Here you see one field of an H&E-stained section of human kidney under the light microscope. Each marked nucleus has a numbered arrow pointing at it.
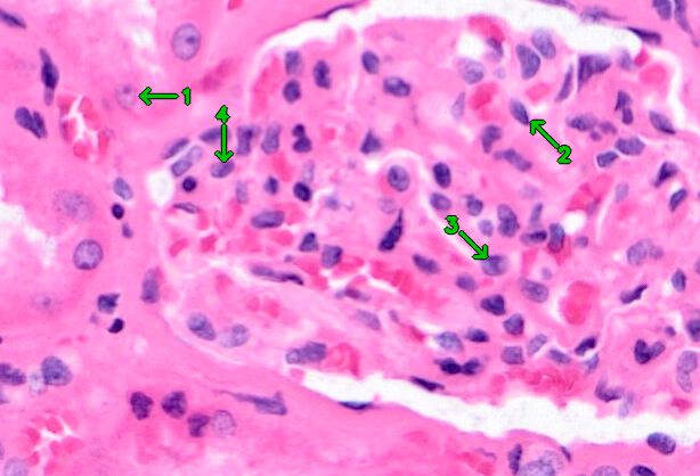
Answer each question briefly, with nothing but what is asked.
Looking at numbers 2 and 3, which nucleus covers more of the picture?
3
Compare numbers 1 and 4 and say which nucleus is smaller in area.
4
